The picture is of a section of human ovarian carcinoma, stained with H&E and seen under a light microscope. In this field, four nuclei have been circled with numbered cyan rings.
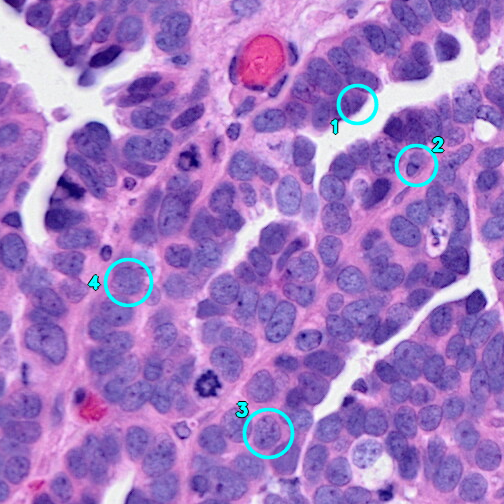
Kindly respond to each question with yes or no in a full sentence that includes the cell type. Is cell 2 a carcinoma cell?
No, cell 2 is not a carcinoma cell, but is instead a macrophage or monocyte.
